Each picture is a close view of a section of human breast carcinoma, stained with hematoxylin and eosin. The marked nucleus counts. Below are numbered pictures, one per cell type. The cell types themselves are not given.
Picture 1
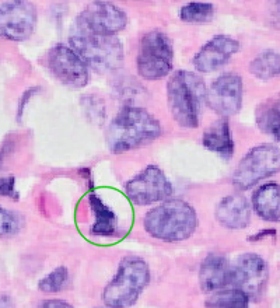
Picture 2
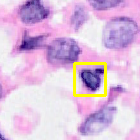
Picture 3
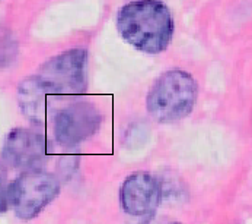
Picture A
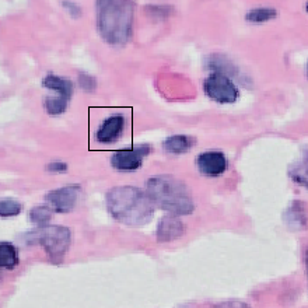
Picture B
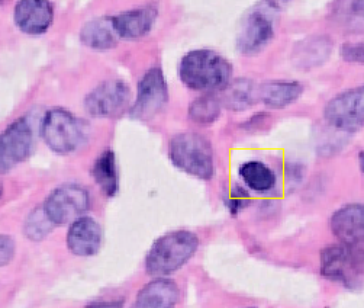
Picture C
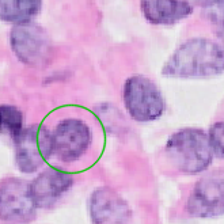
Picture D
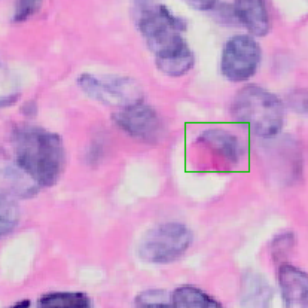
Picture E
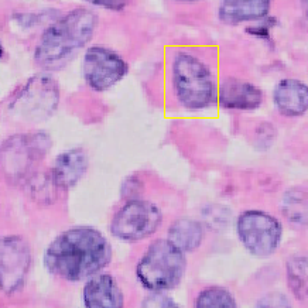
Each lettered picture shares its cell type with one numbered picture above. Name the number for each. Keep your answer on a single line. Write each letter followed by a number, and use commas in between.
A 2, B 2, C 3, D 1, E 3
